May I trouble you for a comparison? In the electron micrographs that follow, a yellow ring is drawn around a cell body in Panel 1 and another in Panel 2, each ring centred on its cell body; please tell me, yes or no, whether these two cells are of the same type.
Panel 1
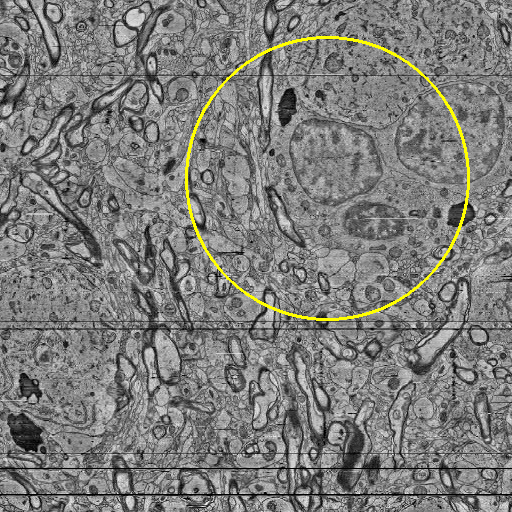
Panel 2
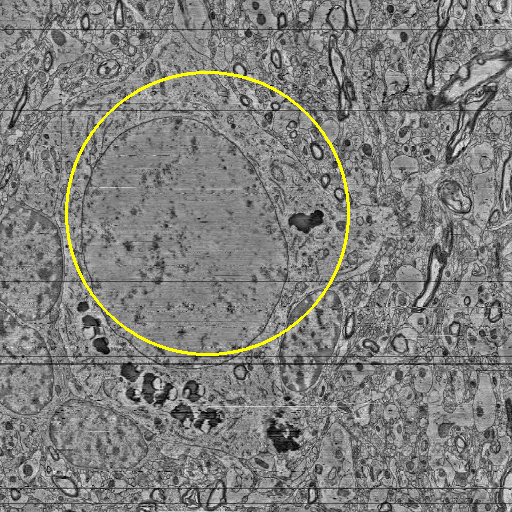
no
